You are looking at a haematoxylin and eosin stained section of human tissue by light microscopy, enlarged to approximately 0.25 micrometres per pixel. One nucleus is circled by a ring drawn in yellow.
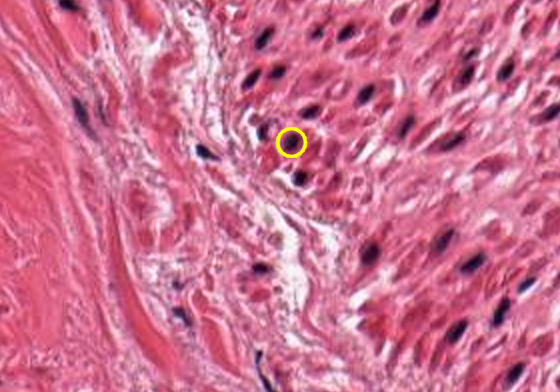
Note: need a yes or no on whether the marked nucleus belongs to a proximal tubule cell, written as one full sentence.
No, this marked nucleus is not one belonging to a proximal tubule cell.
